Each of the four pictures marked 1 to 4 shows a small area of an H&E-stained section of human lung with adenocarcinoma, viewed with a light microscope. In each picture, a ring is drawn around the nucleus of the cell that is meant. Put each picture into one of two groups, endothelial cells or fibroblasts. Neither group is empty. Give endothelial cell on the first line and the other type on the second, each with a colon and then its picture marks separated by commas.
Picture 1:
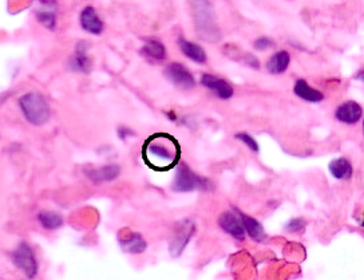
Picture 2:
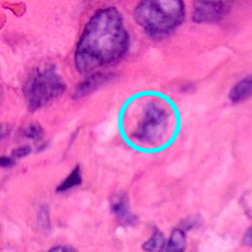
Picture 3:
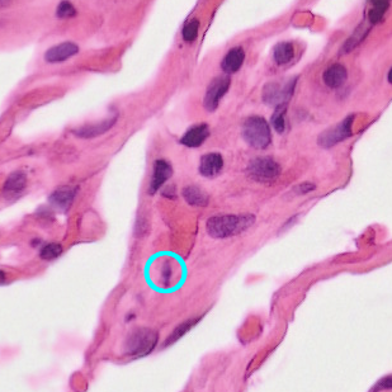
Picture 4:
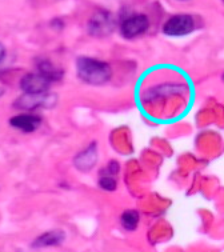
endothelial cell: 1, 3, 4
fibroblast: 2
